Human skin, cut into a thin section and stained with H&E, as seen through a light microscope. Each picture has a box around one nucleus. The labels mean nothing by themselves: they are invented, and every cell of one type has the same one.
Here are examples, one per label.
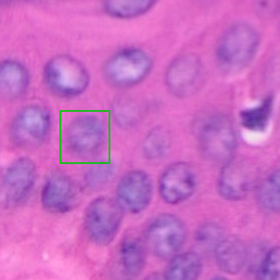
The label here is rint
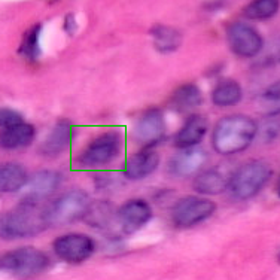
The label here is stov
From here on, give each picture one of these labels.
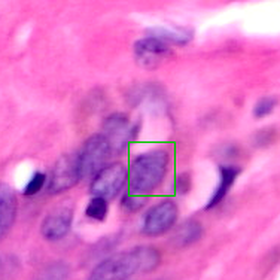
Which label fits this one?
stov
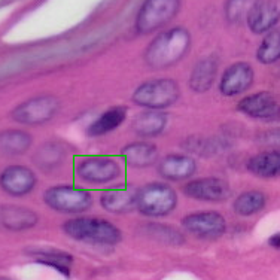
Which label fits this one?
rint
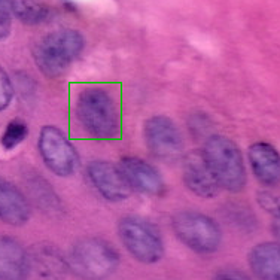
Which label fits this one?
stov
